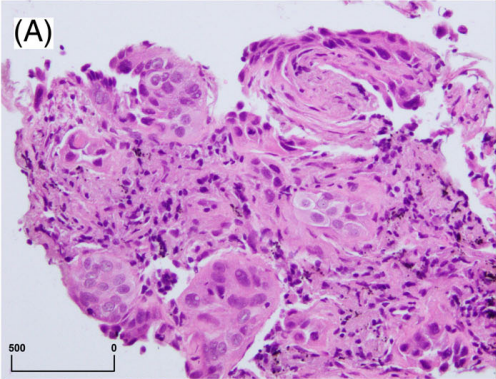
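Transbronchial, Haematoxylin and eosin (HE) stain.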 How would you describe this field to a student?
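Lung biopsy with nests of tumour cells set in a cellular stroma. Tumour cells are large and polygonal with abundant pink cytoplasm and enlarged nuclei with visible nucleoli. The nests are cohesive, with cells abutting closely. A concentric whorled pink structure is present at the upper edge. Stroma between nests contains spindle cells and scattered dark nuclei with black pigment.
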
